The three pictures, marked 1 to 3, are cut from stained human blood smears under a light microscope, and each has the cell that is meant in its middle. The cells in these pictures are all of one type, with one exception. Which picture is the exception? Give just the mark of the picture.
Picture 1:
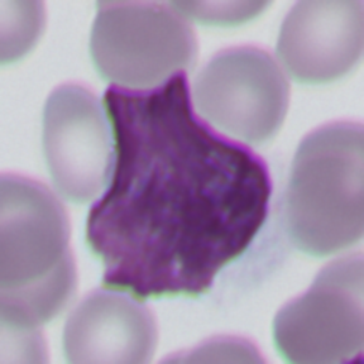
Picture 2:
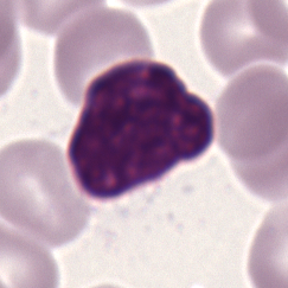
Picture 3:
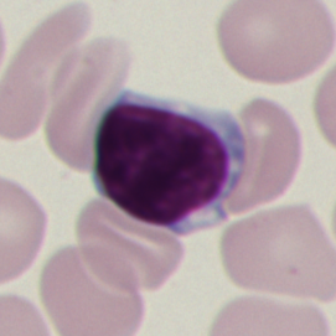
3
